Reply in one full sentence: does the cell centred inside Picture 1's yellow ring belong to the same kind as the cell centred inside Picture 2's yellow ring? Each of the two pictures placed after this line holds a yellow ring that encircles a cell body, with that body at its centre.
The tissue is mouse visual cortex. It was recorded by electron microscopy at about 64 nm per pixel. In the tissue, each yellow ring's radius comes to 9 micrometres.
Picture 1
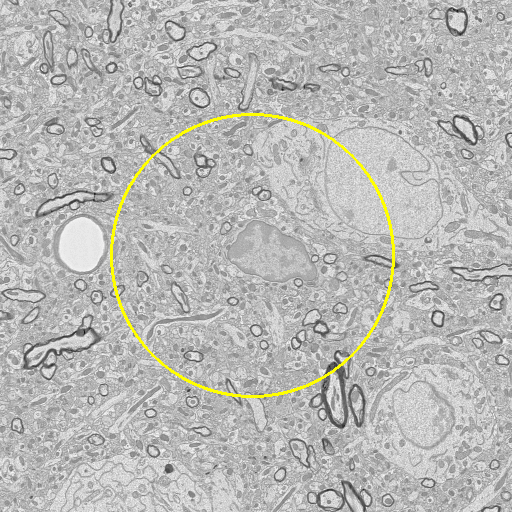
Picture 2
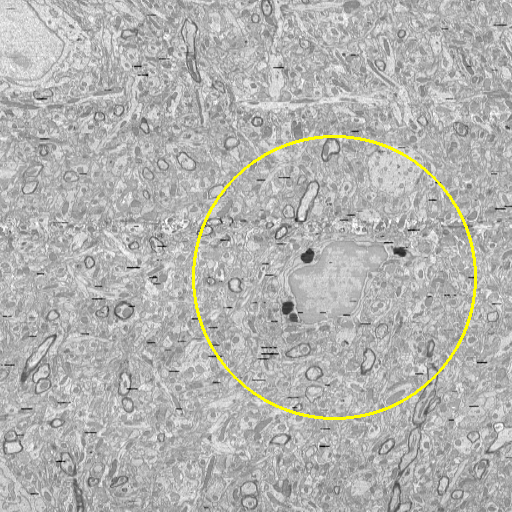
Yes, the ring-centred cells in Picture 1 and Picture 2 are of one and the same kind.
